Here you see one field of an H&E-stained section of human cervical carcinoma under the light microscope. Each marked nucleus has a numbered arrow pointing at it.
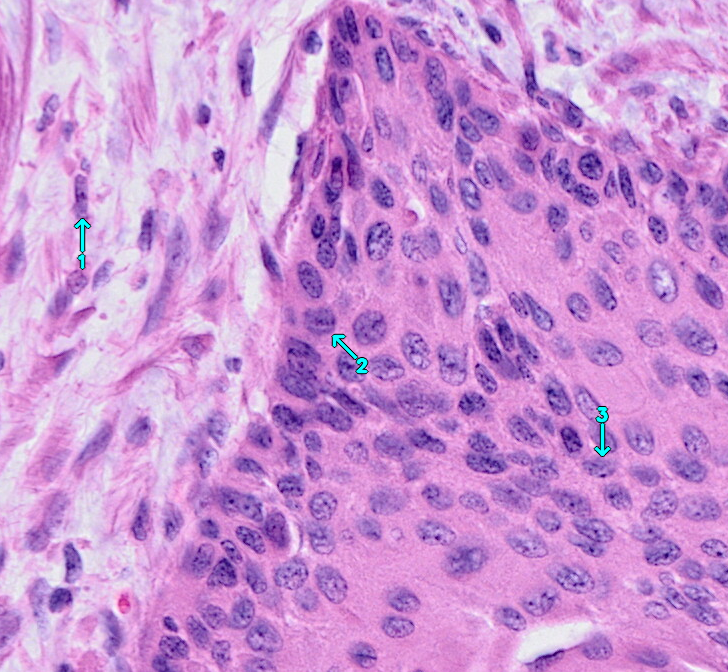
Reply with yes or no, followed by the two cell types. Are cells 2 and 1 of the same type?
No, cell 2 is a squamous carcinoma cell, while a fibroblast is what cell 1 is.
